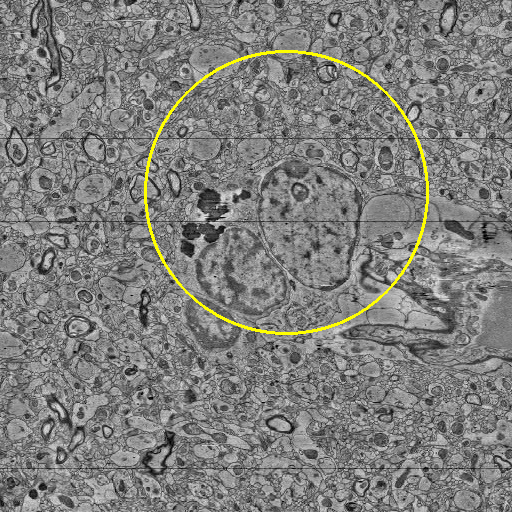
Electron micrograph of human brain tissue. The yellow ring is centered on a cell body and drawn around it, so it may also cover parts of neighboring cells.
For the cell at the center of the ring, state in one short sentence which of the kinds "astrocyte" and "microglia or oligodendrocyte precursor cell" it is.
This ring is centered on a microglial cell or oligodendrocyte precursor cell.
